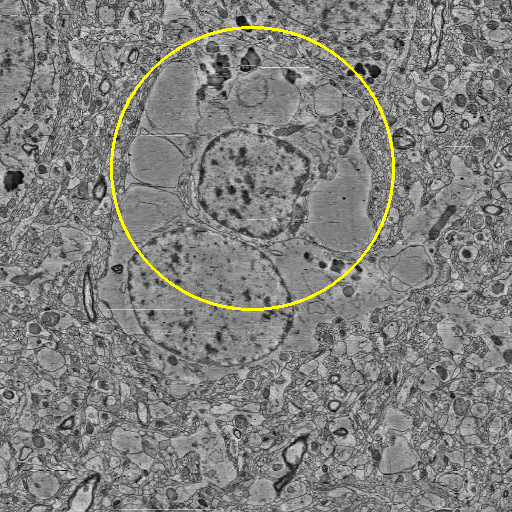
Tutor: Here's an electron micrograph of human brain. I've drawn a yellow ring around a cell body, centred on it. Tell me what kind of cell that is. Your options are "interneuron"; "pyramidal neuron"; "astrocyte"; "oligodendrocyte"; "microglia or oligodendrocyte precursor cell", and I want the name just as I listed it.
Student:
astrocyte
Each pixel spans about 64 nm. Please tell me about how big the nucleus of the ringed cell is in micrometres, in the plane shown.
In this plane, the nucleus of the cell at the centre of the ring is about 7 micrometres across.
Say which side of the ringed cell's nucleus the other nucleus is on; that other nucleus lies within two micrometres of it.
That other nucleus appears to the lower left of it.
